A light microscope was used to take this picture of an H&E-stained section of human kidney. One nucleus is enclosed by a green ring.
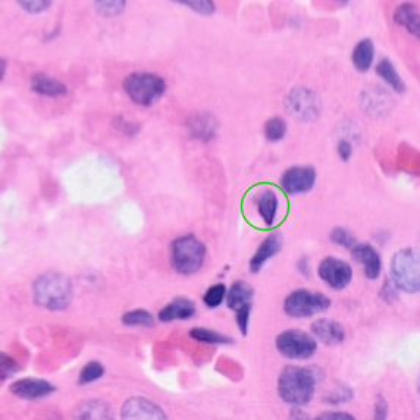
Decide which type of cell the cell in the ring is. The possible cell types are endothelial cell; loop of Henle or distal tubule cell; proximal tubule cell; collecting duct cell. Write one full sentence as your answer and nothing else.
Histopathologically, the cell in the ring is an endothelial cell.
